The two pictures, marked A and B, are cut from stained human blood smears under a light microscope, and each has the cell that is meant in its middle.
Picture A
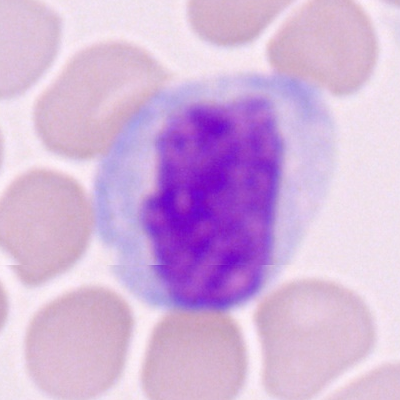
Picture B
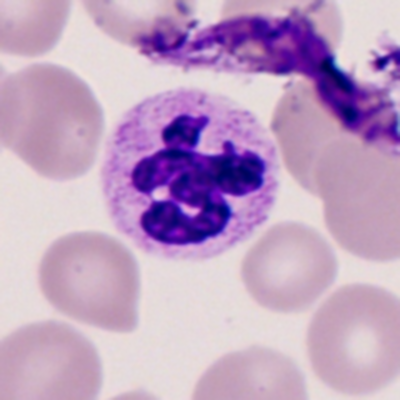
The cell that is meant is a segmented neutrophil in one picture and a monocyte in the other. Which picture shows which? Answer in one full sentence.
Picture B shows a segmented neutrophil, while picture A shows a monocyte.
